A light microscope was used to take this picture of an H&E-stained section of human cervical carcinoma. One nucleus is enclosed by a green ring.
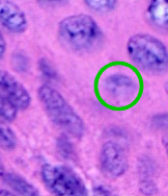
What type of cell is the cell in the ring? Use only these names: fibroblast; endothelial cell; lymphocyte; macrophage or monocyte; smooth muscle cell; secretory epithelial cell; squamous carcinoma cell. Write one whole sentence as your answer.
Within the stained tissue, the cell in the ring is a squamous carcinoma cell.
